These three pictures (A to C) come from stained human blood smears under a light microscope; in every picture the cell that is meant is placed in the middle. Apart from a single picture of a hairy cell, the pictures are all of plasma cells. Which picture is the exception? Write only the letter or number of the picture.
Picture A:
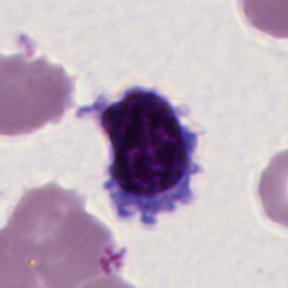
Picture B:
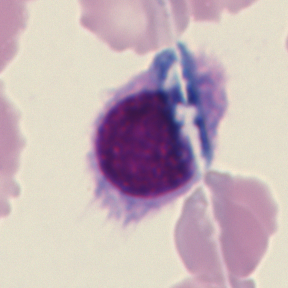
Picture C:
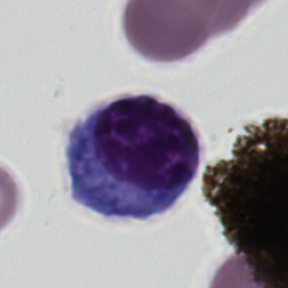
B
